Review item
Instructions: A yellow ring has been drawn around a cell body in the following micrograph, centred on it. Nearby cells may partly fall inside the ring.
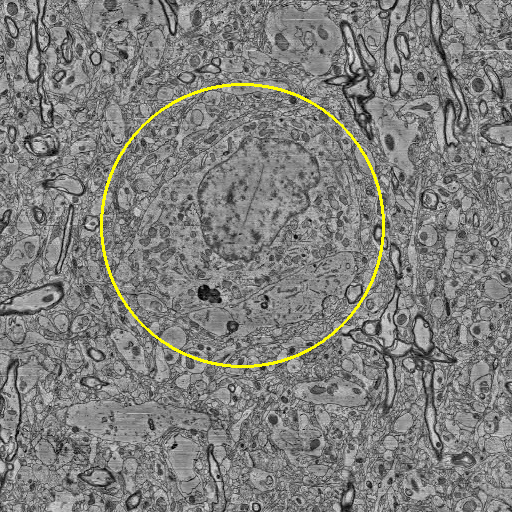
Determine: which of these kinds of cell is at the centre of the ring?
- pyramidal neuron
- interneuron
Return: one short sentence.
The cell body in the middle of the ring is that of an interneuron.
